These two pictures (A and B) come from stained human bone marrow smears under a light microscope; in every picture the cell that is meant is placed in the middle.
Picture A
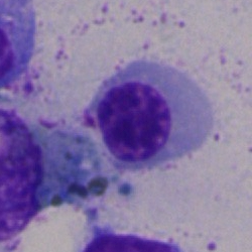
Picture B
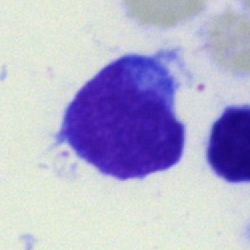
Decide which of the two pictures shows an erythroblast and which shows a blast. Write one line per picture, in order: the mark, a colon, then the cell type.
A: erythroblast
B: blast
